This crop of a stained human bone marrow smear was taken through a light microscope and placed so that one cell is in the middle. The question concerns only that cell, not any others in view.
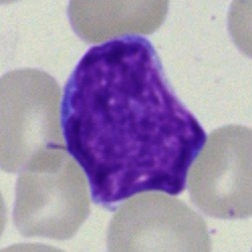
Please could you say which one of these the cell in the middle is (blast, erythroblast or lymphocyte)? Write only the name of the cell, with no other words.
blast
